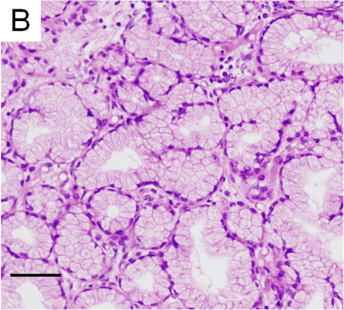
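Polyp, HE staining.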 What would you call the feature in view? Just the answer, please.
Brunner’s glands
